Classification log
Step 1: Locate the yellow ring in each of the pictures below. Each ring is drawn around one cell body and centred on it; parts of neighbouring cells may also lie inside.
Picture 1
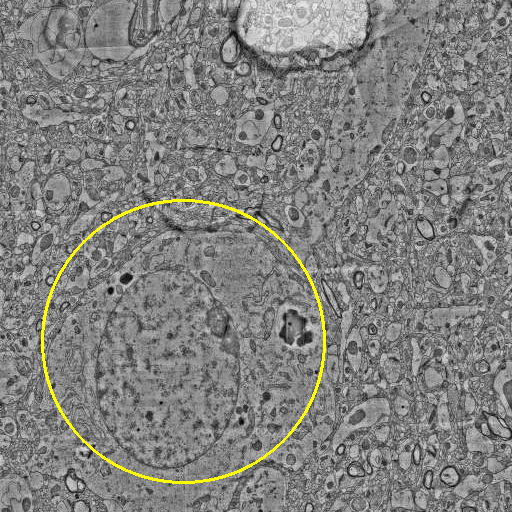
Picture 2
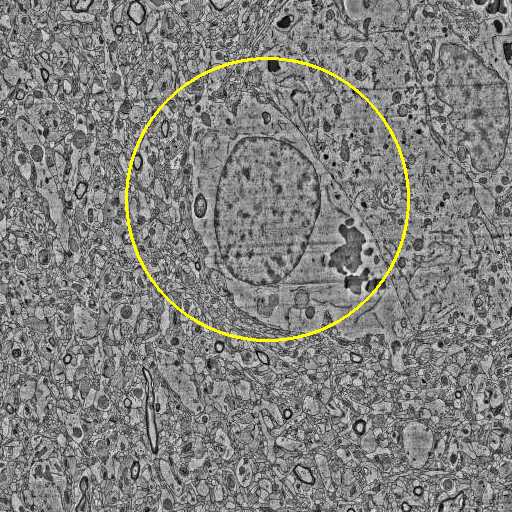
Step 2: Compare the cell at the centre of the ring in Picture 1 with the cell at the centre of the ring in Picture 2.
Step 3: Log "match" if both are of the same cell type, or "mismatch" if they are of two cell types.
mismatch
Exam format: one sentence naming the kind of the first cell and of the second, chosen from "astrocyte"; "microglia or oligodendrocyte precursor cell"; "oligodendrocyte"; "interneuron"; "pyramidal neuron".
The first picture's cell is an interneuron, and the second picture's cell is an astrocyte.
